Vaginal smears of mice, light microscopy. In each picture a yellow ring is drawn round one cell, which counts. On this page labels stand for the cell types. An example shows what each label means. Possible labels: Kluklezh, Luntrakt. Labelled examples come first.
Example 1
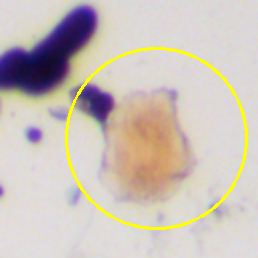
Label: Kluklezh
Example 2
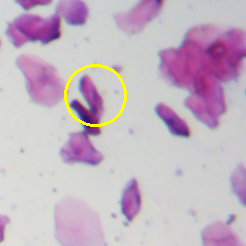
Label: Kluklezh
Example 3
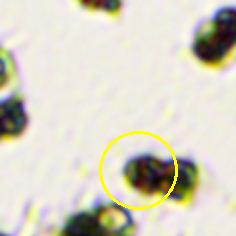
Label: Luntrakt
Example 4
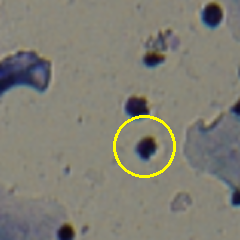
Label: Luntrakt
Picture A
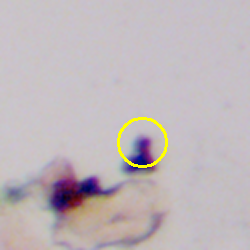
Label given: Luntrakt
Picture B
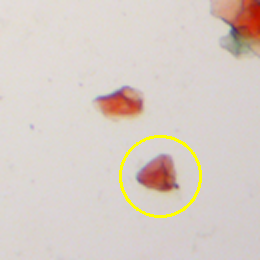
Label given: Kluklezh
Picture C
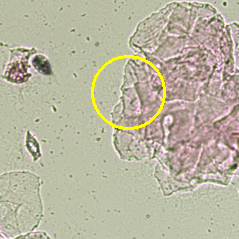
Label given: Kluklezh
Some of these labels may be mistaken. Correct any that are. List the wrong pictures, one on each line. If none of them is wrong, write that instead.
All labels are correct.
